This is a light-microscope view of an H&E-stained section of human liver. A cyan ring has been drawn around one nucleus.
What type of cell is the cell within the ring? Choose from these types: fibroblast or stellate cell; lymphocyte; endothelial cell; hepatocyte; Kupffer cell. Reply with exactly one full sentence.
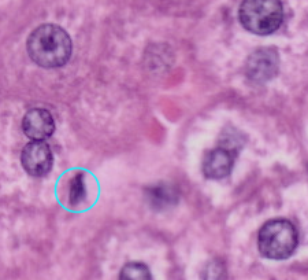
For the purposes of cell typing, the cell within the ring is categorized as an endothelial cell.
